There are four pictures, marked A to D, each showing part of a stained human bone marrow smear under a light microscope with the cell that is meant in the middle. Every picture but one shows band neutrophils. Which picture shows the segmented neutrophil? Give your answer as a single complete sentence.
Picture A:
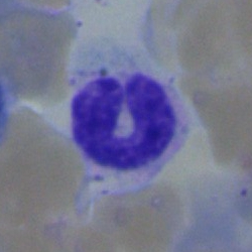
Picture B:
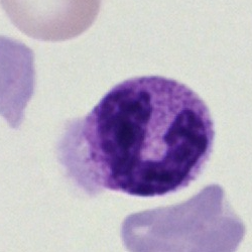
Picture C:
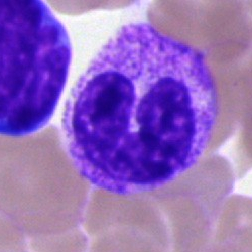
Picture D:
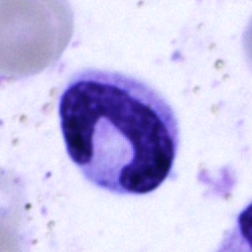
Picture B shows the segmented neutrophil.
